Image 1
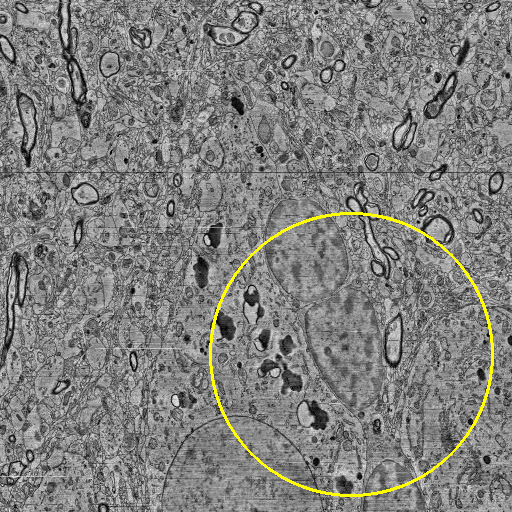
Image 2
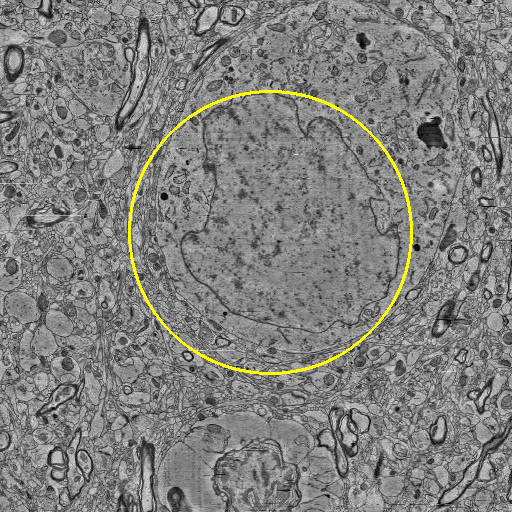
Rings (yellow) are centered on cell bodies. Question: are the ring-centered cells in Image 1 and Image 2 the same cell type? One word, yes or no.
no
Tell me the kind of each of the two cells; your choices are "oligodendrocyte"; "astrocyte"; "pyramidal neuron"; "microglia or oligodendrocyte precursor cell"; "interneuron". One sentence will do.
The ringed cell is an oligodendrocyte in the first picture and a pyramidal neuron in the second picture.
